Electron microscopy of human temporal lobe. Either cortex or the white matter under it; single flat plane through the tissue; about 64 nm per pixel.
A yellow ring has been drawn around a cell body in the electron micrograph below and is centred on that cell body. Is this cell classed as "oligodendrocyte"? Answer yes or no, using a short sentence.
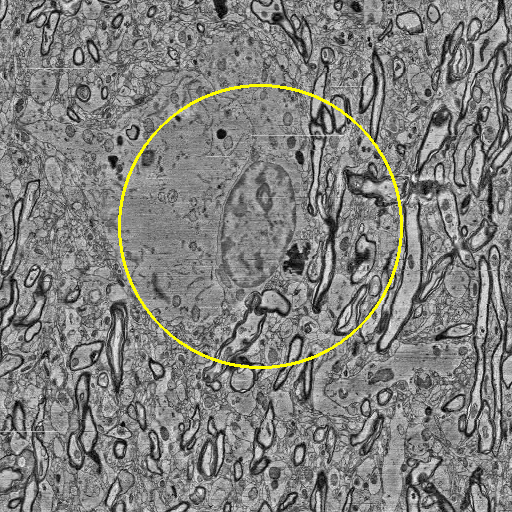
Yes, it is classed as that kind.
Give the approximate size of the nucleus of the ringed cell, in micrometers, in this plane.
The ringed cell's nucleus is about 8 micrometres long and 5 micrometres wide in this plane.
